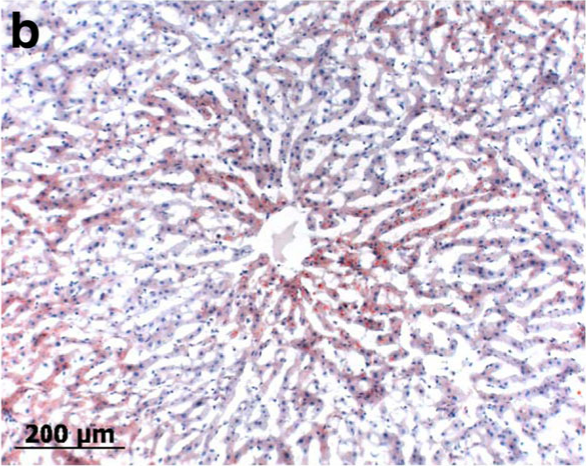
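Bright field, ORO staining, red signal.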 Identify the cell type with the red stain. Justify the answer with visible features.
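The red tint lies in the cytoplasm of cells arranged in radiating cords. That points to this answer: hepatocytes.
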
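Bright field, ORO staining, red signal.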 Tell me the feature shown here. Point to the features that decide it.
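Cords of cells radiate outward from this lumen.
Hence: central vein.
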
